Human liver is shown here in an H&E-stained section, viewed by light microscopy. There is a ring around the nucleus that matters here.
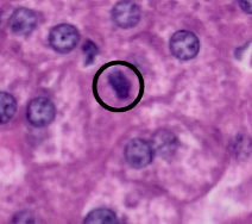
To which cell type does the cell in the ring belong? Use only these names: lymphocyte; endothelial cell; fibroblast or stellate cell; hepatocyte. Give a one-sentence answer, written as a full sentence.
Placed in its cell category, the cell in the ring is a fibroblast or stellate cell.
